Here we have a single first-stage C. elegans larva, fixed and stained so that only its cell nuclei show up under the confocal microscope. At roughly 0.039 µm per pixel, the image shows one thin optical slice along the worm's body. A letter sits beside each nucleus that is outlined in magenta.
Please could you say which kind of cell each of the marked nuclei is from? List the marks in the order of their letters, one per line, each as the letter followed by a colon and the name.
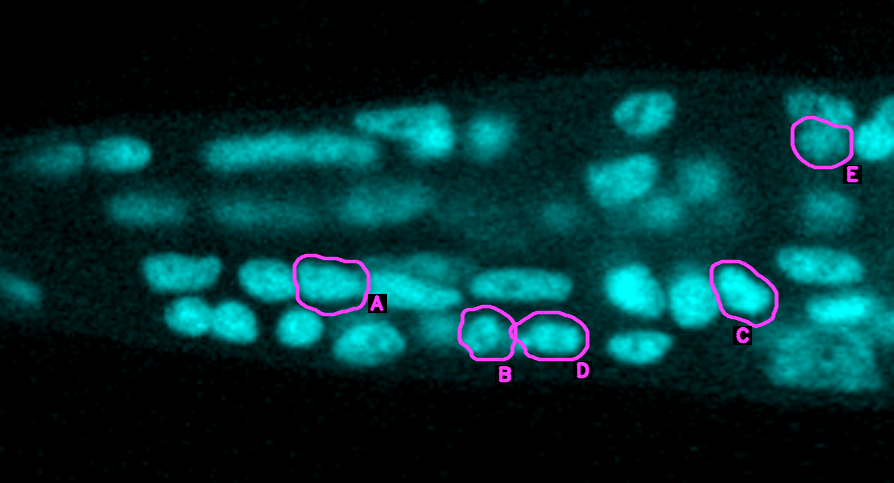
A: pharyngeal muscle cell
B: hypodermal cell (hyp)
C: neuron
D: hypodermal cell (hyp)
E: neuron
